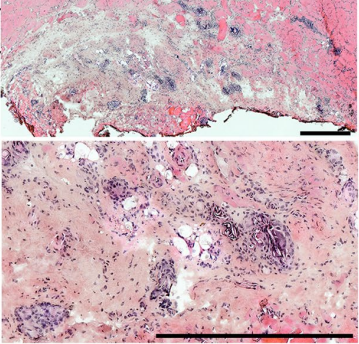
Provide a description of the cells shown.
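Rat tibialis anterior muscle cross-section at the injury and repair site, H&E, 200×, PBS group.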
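Several dense clusters of small, darkly stained purple nuclei mark cell infiltrations within the fibrous matrix. A few small clear spaces lie among the clusters.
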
